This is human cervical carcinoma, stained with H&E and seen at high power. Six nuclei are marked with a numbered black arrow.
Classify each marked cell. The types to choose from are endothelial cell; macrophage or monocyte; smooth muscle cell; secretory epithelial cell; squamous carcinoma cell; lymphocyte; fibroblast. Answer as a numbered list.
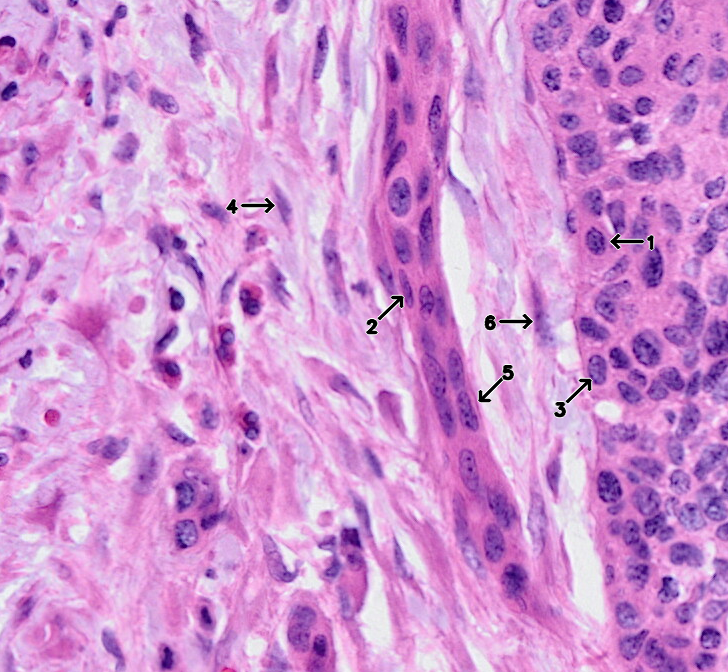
1. squamous carcinoma cell
2. squamous carcinoma cell
3. squamous carcinoma cell
4. fibroblast
5. squamous carcinoma cell
6. fibroblast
